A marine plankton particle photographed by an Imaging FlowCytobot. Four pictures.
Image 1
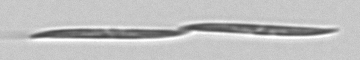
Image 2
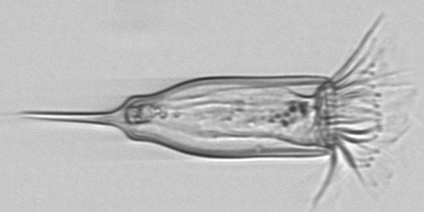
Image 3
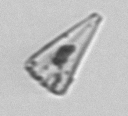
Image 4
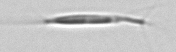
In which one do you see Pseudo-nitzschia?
In picture 1.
